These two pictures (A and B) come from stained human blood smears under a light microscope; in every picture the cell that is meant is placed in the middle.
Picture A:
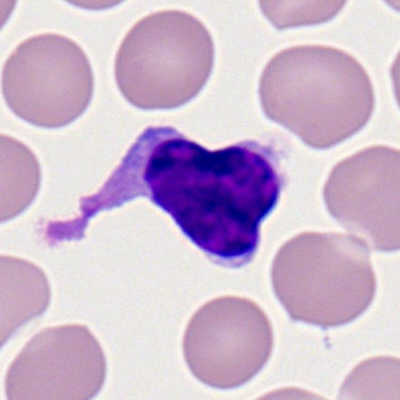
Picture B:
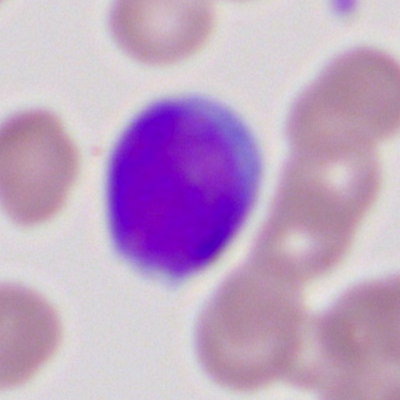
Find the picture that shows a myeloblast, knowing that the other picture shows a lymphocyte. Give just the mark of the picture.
B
